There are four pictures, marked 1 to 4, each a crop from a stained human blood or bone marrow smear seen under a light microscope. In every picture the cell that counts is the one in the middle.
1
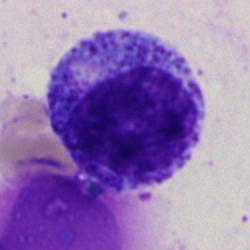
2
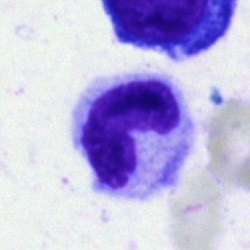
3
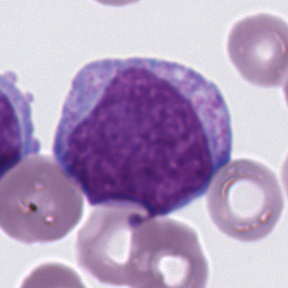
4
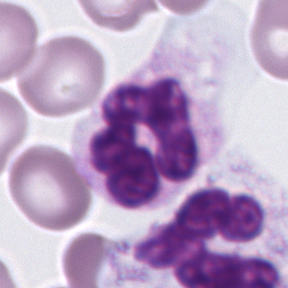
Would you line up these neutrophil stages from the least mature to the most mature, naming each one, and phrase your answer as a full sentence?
From youngest to most mature, the cells go crop 3 (a promyelocyte), crop 1 (a myelocyte), crop 2 (a band neutrophil) and crop 4 (a segmented neutrophil).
